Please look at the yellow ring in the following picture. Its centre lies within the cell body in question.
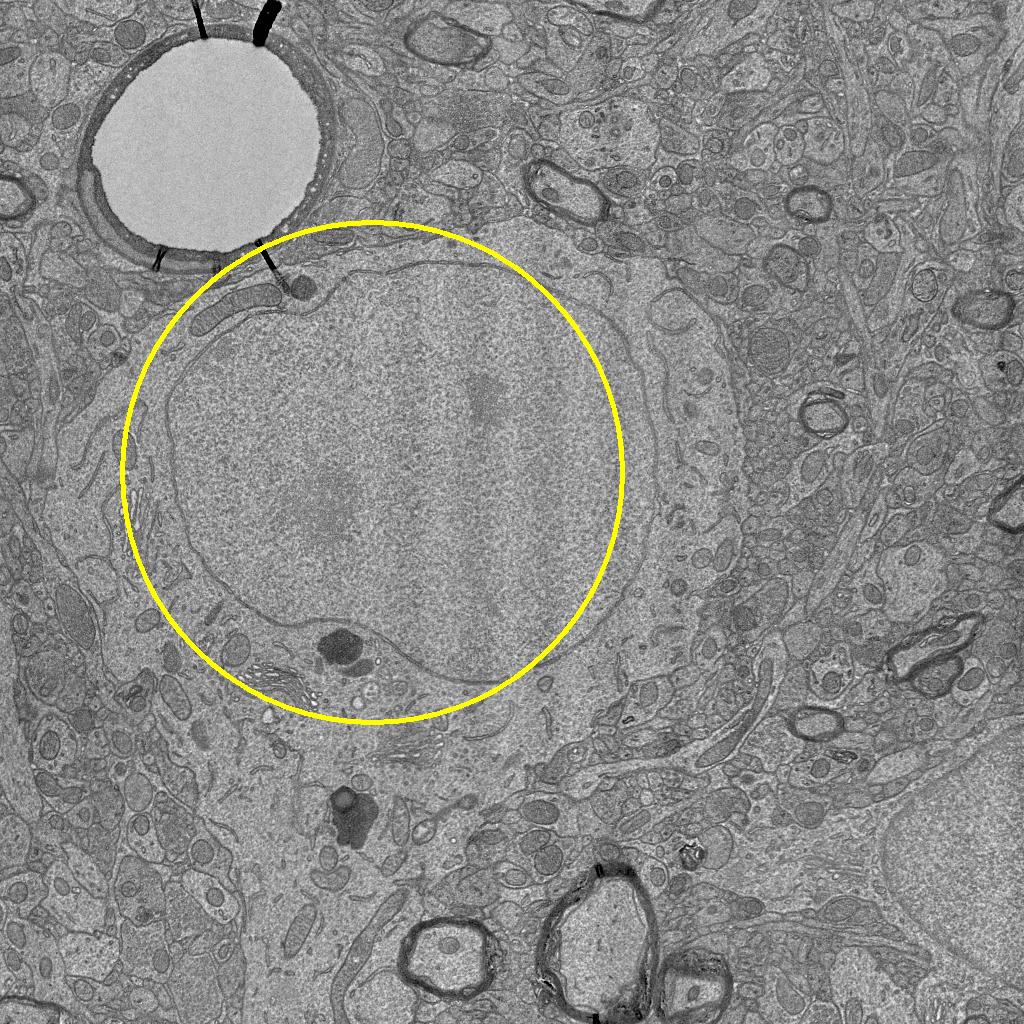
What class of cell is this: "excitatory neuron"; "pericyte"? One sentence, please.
The centre of the ring lies in the cell body of an excitatory neuron.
